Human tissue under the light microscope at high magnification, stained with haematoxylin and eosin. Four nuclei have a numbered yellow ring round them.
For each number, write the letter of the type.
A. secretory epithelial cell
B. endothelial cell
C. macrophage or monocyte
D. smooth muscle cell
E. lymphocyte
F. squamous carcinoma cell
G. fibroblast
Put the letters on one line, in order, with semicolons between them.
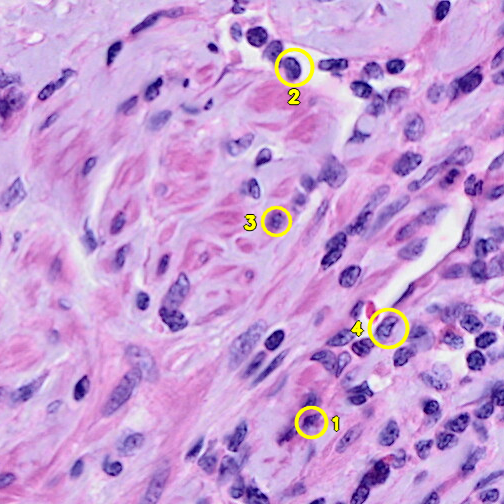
B; E; D; B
